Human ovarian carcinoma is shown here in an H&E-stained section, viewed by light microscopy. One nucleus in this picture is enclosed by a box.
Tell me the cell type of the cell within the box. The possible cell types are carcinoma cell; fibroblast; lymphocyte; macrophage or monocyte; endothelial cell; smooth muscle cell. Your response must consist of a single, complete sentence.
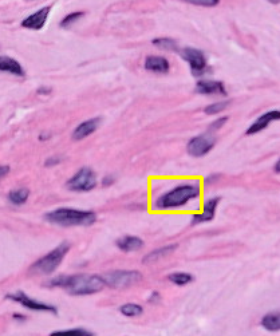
To be brief about it, the cell within the box is a smooth muscle cell.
